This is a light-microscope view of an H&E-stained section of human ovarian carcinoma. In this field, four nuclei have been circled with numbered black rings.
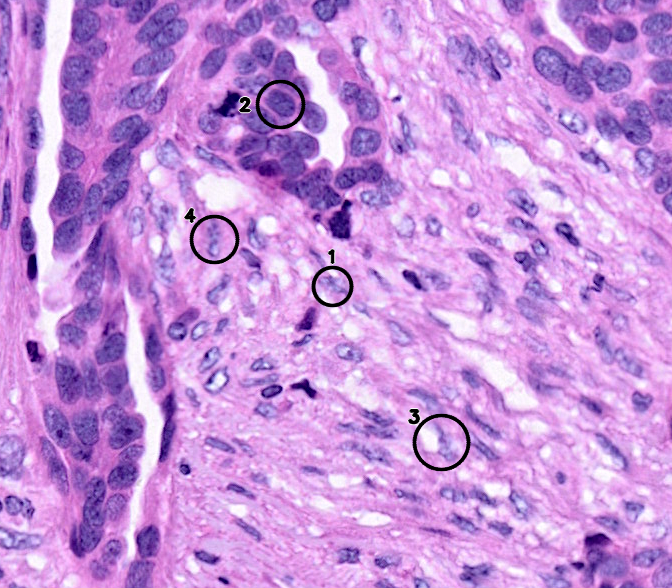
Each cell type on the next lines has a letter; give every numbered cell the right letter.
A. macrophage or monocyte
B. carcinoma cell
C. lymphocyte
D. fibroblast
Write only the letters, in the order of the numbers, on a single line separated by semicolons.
D; B; D; D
